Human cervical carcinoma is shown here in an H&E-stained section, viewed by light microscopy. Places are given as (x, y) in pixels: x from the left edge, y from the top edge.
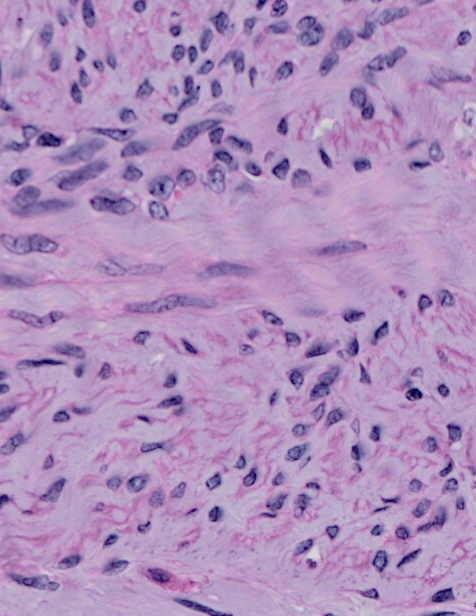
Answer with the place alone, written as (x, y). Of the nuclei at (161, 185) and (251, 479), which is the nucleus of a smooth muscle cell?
(251, 479)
